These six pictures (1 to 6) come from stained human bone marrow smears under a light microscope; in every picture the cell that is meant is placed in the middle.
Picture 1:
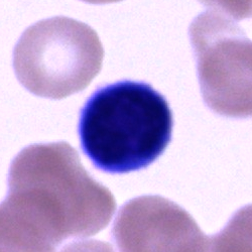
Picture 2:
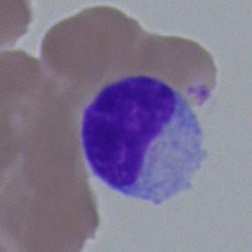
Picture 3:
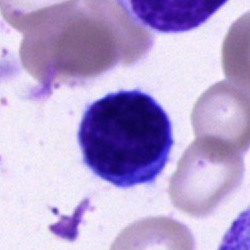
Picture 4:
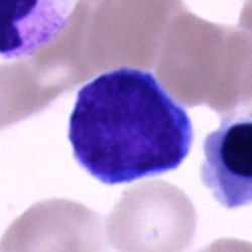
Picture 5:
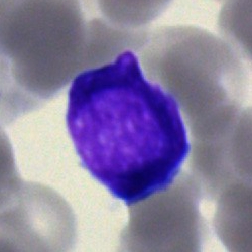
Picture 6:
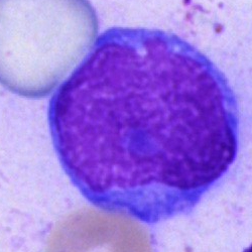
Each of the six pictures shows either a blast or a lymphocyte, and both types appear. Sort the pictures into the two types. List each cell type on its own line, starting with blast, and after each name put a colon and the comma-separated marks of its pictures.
blast: 5, 6
lymphocyte: 1, 2, 3, 4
